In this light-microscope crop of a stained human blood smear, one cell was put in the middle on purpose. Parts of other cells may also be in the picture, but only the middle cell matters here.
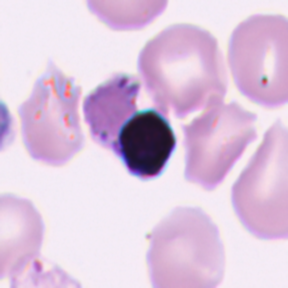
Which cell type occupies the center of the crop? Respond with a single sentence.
Present in the middle of the crop is a normoblast.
